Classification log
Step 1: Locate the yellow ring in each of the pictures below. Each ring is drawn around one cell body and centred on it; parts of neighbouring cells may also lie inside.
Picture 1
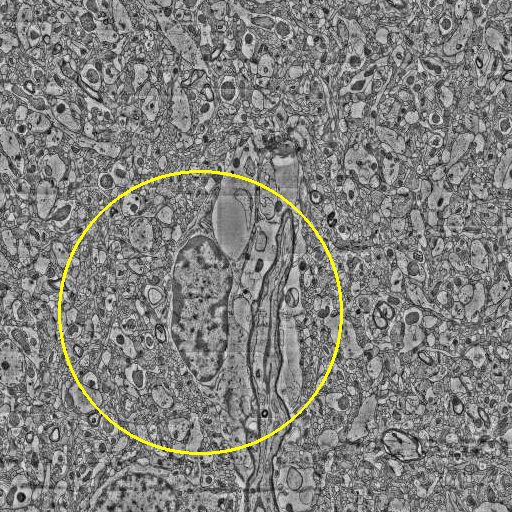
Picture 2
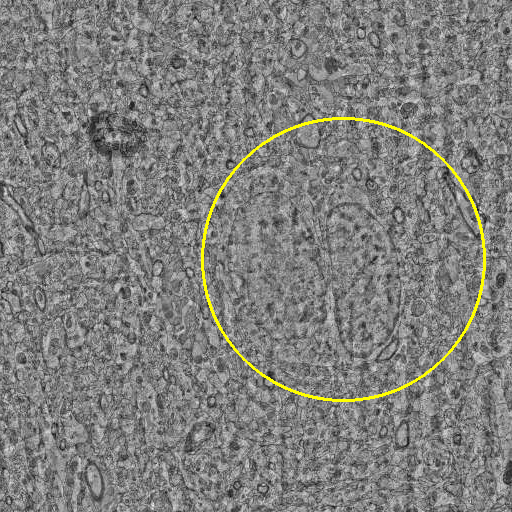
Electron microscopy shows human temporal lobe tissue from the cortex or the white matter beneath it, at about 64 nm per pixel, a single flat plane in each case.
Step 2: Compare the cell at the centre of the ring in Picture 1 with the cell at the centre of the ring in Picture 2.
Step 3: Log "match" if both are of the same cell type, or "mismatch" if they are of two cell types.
match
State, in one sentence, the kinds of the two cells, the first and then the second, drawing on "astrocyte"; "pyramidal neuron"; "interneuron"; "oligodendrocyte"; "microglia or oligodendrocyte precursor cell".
In each picture the ringed cell is a microglial cell or oligodendrocyte precursor cell.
